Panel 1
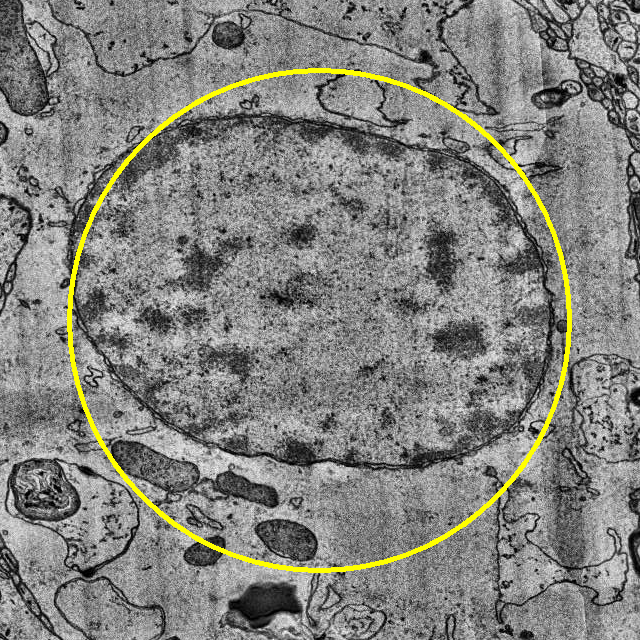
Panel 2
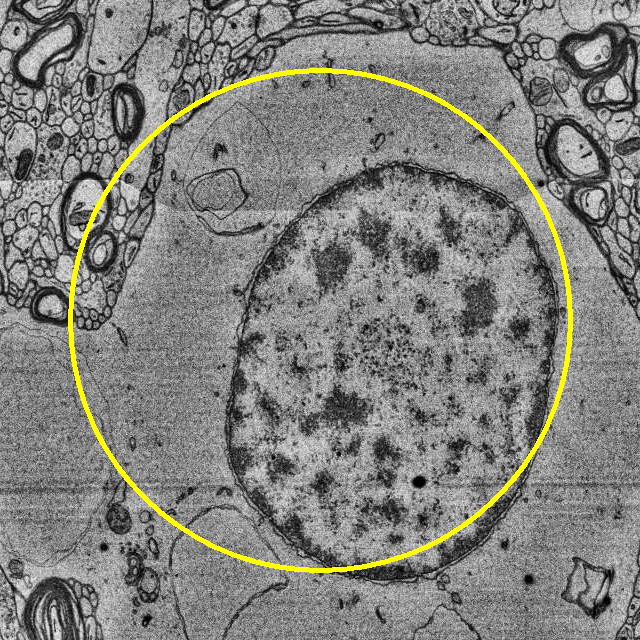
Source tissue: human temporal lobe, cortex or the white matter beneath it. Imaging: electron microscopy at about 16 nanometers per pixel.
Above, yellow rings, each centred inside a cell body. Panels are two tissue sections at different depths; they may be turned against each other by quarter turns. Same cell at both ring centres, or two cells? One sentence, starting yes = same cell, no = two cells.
No, the two rings enclose two cells that are not the same.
